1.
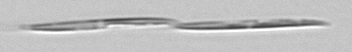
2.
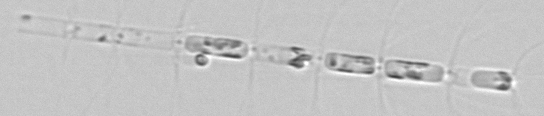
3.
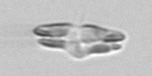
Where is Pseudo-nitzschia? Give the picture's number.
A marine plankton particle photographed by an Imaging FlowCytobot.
1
